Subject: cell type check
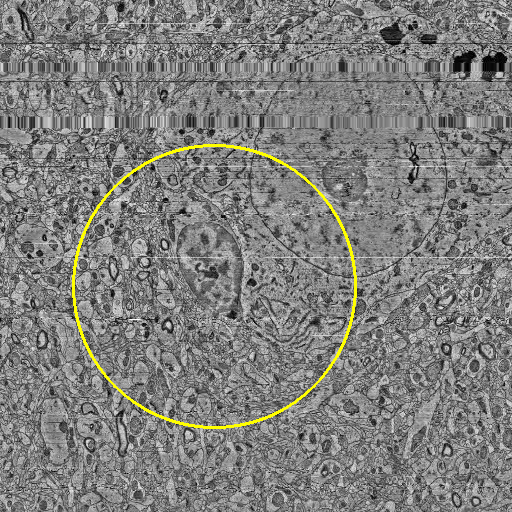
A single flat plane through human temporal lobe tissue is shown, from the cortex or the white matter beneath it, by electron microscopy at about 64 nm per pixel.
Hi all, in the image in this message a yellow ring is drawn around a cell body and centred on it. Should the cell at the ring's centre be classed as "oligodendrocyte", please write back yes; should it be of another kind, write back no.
yes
